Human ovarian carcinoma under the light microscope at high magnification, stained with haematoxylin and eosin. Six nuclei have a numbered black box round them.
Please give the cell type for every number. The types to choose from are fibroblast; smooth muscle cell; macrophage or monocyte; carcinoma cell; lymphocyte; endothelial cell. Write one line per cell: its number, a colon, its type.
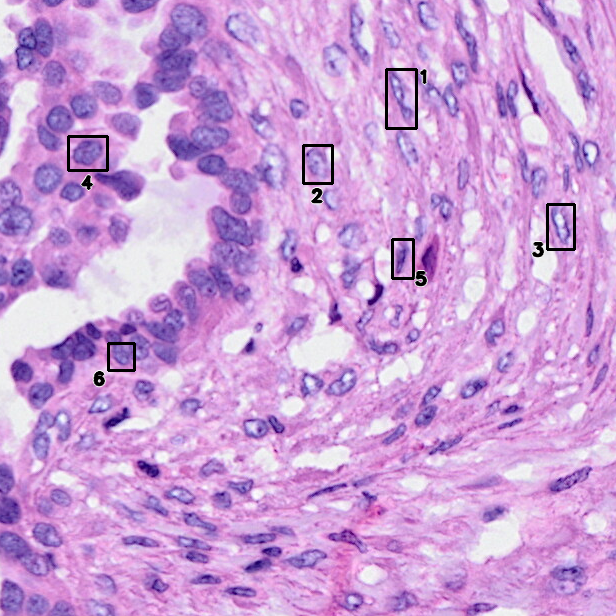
1: fibroblast
2: fibroblast
3: fibroblast
4: carcinoma cell
5: fibroblast
6: carcinoma cell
